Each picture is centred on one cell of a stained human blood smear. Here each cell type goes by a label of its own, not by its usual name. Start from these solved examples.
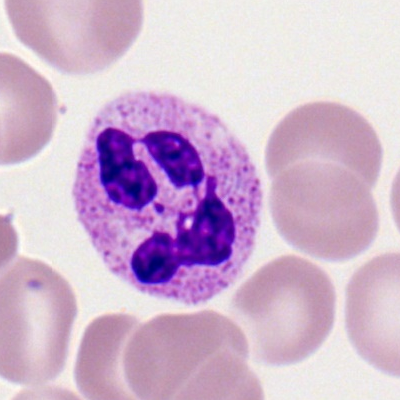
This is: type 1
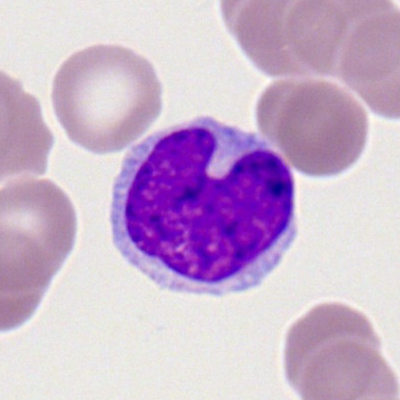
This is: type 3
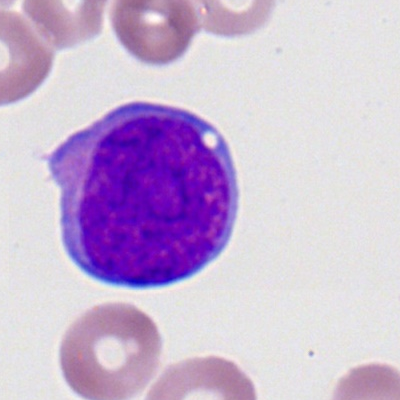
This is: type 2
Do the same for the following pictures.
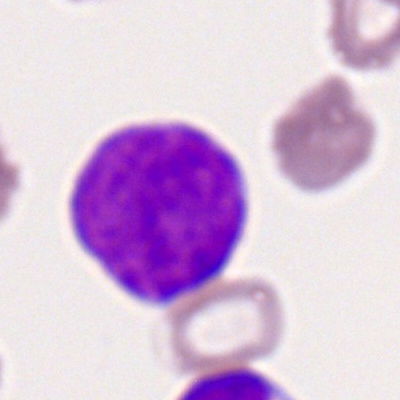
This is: type 2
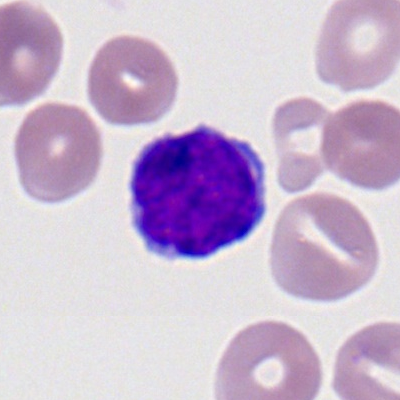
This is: type 3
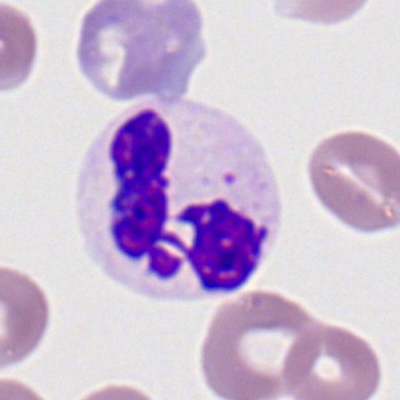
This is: type 1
